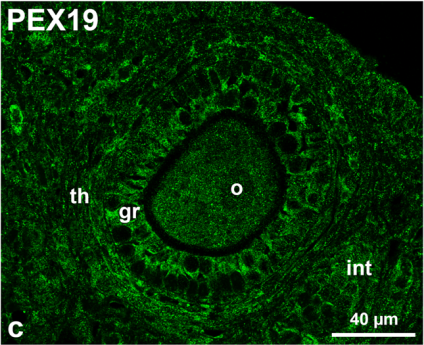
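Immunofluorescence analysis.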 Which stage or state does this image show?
Secondary follicles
